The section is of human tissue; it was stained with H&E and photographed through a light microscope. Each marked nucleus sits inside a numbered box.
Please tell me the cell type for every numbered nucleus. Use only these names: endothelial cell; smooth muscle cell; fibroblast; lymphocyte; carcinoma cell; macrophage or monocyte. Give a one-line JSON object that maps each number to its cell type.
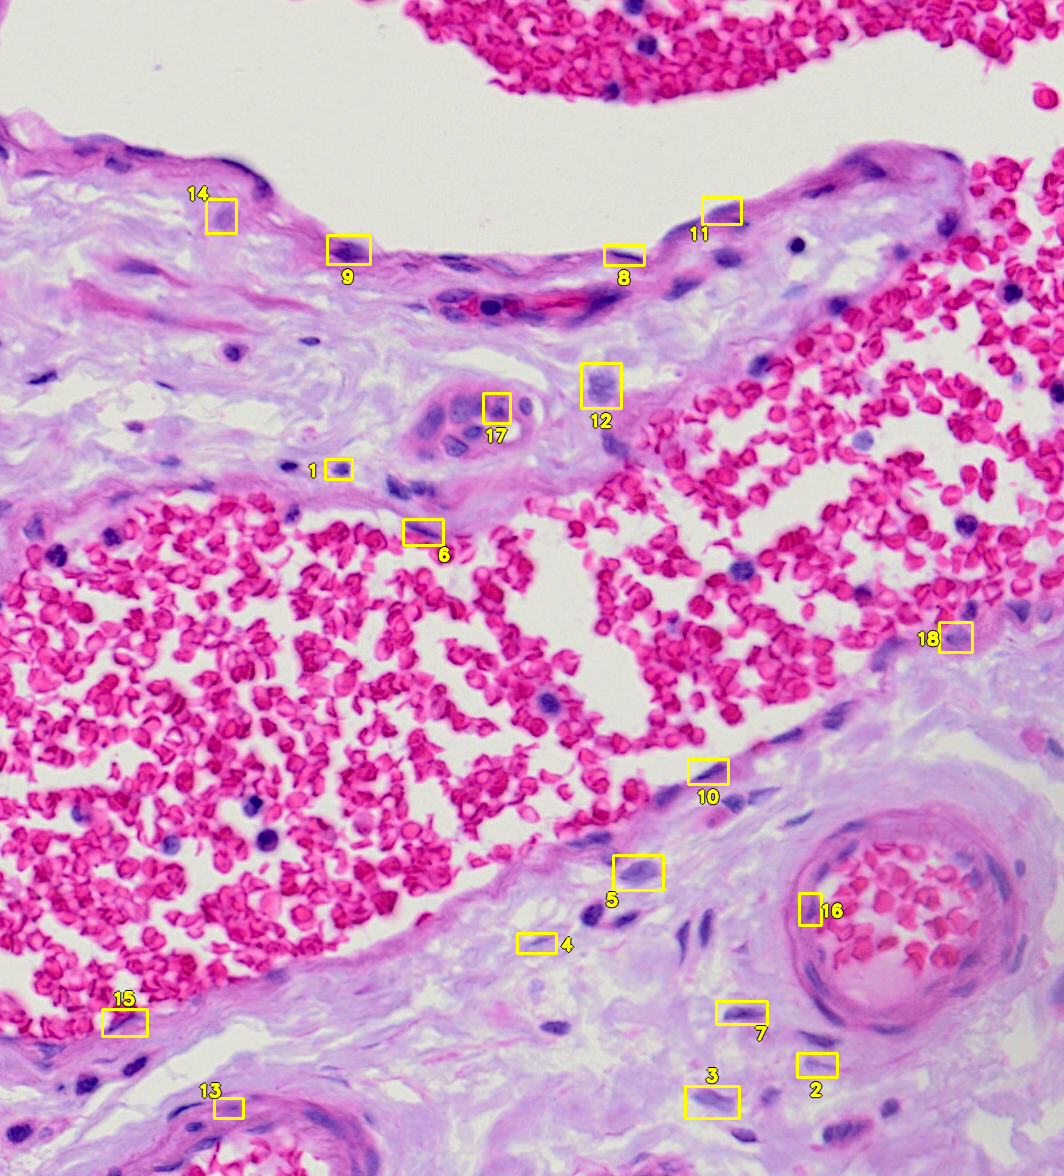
{"1": "lymphocyte", "2": "fibroblast", "3": "fibroblast", "4": "fibroblast", "5": "fibroblast", "6": "endothelial cell", "7": "fibroblast", "8": "endothelial cell", "9": "endothelial cell", "10": "endothelial cell", "11": "endothelial cell", "12": "fibroblast", "13": "smooth muscle cell", "14": "fibroblast", "15": "endothelial cell", "16": "endothelial cell", "17": "endothelial cell", "18": "endothelial cell"}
